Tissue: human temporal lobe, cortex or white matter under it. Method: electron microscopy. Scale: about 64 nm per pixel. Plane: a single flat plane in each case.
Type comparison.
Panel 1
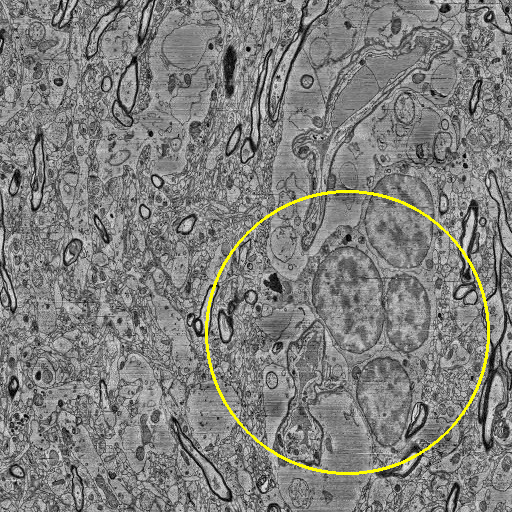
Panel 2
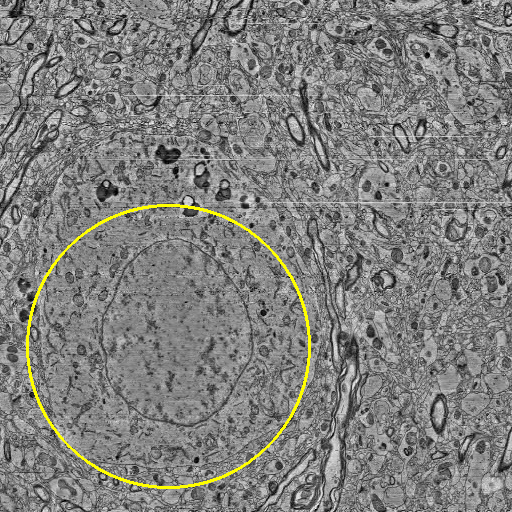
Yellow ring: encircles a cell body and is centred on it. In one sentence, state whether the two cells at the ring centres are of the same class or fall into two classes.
In these panels, the two cells at the ring centres fall into two classes.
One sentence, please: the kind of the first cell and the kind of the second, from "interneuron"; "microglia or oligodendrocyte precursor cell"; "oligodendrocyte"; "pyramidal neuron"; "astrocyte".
The ring in the first picture surrounds an oligodendrocyte, and the ring in the second surrounds a pyramidal neuron.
